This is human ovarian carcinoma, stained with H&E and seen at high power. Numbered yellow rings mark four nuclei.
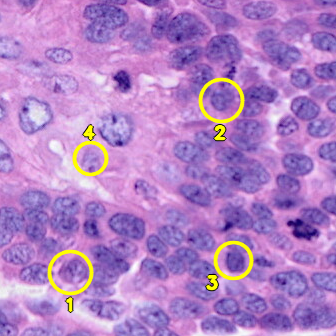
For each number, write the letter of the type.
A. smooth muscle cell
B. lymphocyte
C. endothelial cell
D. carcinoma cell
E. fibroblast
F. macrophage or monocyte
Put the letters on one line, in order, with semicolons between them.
D; D; D; E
